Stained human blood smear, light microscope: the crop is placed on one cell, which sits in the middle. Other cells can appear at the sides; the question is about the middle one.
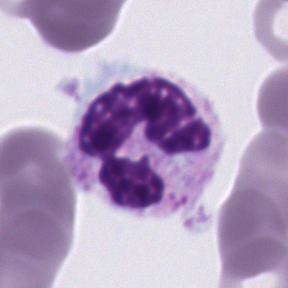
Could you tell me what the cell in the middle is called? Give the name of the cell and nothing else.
segmented neutrophil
